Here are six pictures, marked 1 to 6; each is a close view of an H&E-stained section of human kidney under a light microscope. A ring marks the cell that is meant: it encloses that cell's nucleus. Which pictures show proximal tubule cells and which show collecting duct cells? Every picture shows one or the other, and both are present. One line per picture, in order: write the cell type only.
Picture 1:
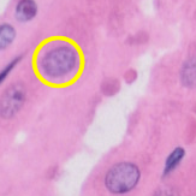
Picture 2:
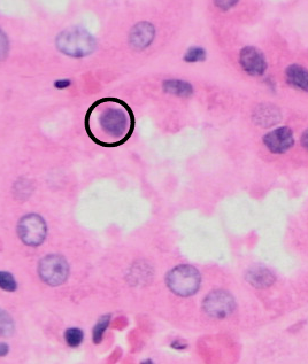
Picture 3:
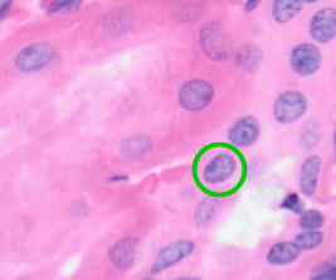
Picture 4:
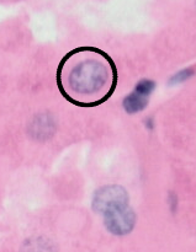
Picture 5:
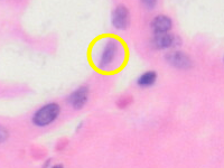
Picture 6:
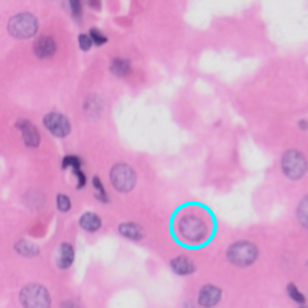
proximal tubule cell
proximal tubule cell
collecting duct cell
proximal tubule cell
collecting duct cell
proximal tubule cell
